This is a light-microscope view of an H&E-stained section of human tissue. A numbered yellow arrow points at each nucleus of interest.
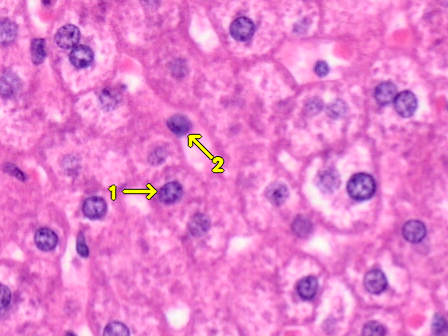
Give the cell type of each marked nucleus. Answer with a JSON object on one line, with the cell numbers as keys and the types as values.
{"1": "hepatocyte", "2": "endothelial cell"}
